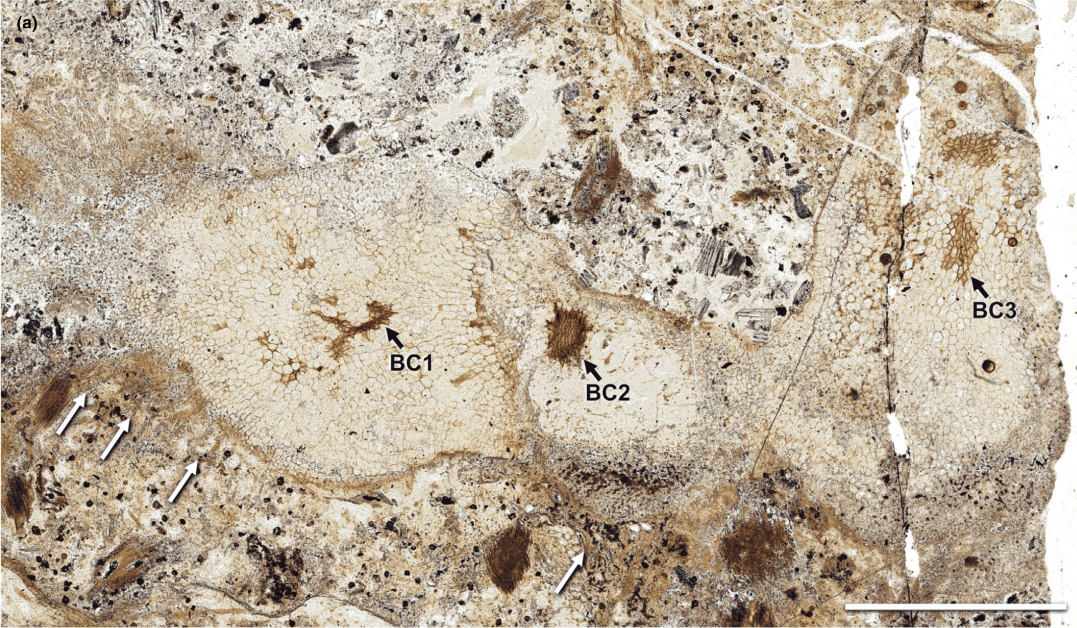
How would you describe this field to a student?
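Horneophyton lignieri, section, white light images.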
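A broad, lobed body of pale, polygonal, thin-walled cells fills the middle of the picture. Several small patches of cells with brown walls sit inside it, one irregular and branching, one dense and rounded, and one elongated in the right-hand lobe. Around this body lies a jumbled matrix of plant fragments, fibrous brown strands and scattered dark round bodies. The pale body is a rhizome of parenchyma-like cells, and the brown patches are its brown-walled centre cells.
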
